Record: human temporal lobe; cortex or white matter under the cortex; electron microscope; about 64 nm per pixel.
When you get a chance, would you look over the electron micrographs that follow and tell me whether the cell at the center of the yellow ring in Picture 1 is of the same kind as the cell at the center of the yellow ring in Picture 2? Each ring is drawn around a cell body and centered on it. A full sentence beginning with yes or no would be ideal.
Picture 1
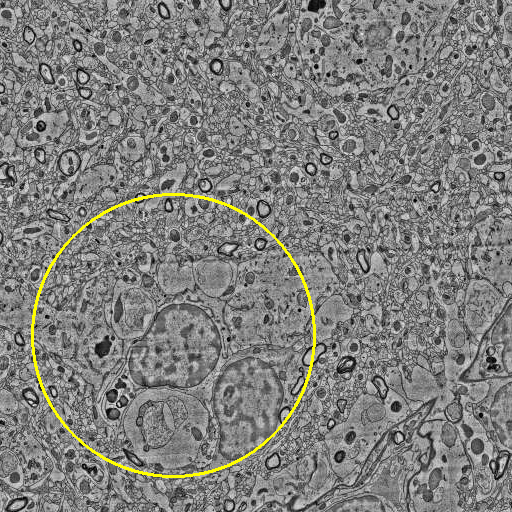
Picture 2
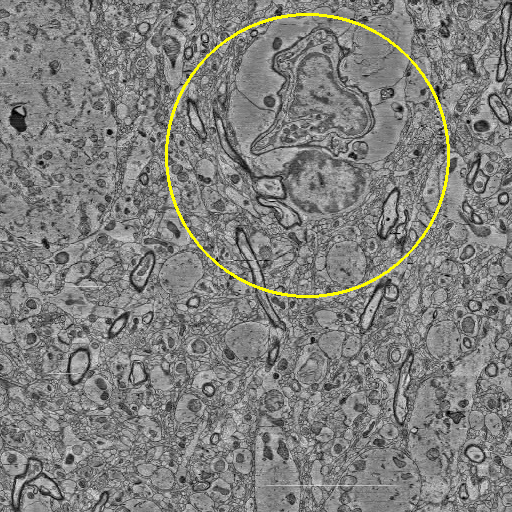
No, they are two kinds of cell.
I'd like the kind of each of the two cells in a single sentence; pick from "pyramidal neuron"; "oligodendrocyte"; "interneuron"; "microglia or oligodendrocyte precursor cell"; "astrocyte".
The first ring marks a microglial cell or oligodendrocyte precursor cell, and the second ring marks an oligodendrocyte.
